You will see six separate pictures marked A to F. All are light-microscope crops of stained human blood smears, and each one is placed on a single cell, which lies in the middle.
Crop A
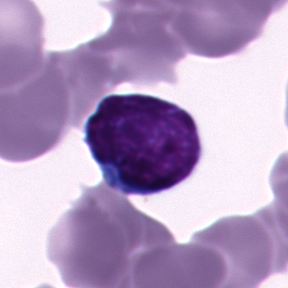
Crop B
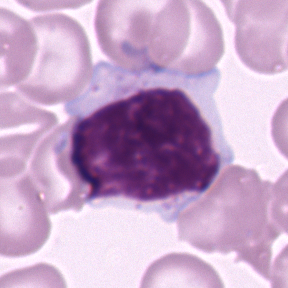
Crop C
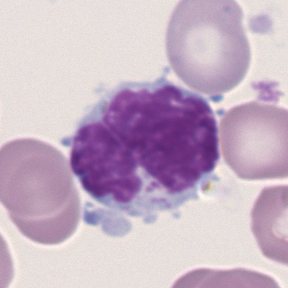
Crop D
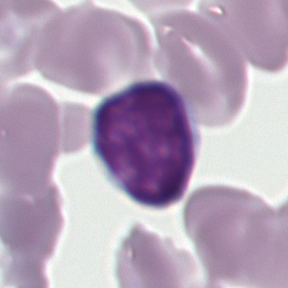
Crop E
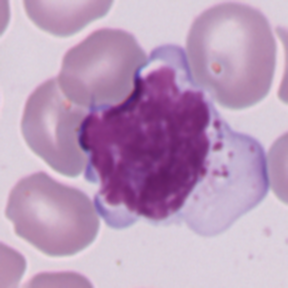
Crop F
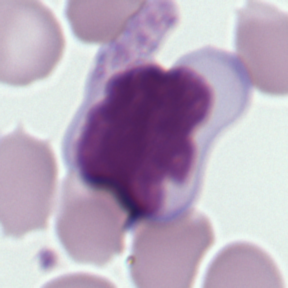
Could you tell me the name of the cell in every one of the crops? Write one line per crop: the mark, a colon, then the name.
A: typical lymphocyte
B: large granular lymphocyte
C: large granular lymphocyte
D: typical lymphocyte
E: large granular lymphocyte
F: large granular lymphocyte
